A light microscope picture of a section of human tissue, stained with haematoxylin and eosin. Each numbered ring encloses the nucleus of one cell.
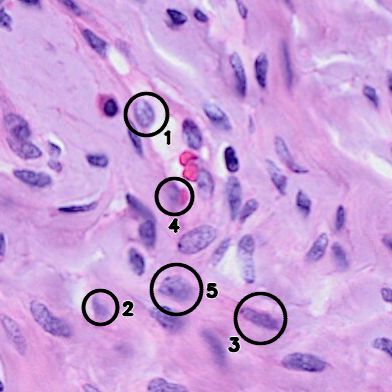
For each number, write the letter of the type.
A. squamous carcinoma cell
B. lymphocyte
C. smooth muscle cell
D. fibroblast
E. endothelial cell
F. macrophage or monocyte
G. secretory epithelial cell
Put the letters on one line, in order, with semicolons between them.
E; D; C; E; D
